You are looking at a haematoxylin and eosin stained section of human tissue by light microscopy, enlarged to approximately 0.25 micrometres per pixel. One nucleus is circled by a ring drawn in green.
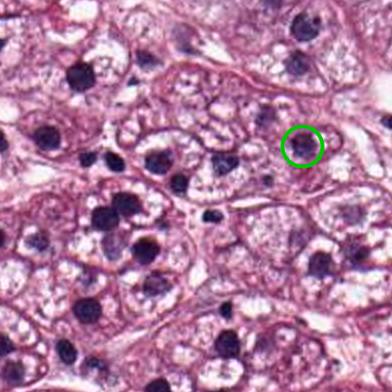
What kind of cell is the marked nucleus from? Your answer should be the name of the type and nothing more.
adrenal cortical cell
